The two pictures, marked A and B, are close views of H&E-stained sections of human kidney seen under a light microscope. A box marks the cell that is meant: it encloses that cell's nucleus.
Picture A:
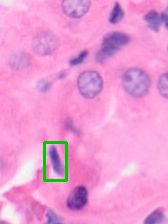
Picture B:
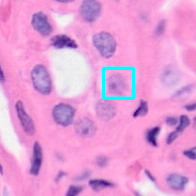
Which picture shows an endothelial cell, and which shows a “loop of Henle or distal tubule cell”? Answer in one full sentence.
Picture B shows a “loop of Henle or distal tubule cell”, while picture A shows an endothelial cell.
